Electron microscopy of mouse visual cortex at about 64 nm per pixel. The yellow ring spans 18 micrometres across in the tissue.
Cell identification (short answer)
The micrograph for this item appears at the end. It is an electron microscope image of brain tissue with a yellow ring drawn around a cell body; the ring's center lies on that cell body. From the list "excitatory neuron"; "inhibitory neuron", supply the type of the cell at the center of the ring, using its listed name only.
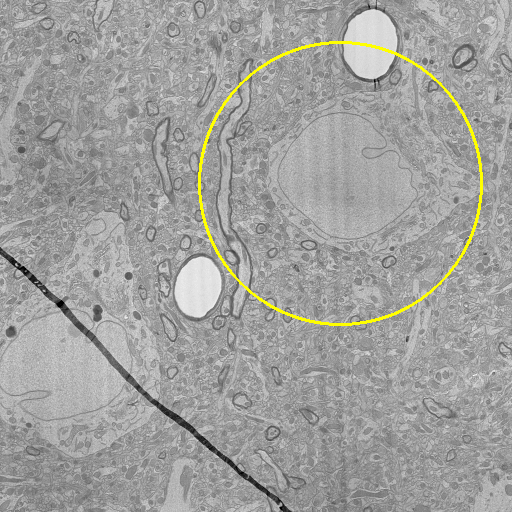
excitatory neuron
